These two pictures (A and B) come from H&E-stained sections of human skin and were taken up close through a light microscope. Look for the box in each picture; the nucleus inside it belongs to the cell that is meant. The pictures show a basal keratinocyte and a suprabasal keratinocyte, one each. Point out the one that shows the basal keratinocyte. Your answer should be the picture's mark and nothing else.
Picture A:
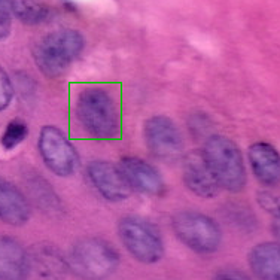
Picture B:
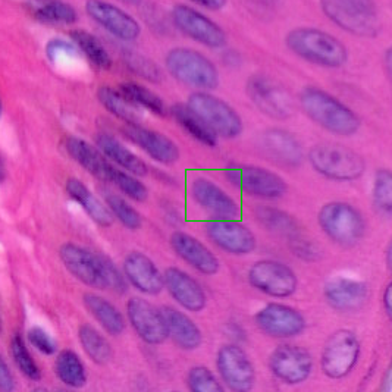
A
